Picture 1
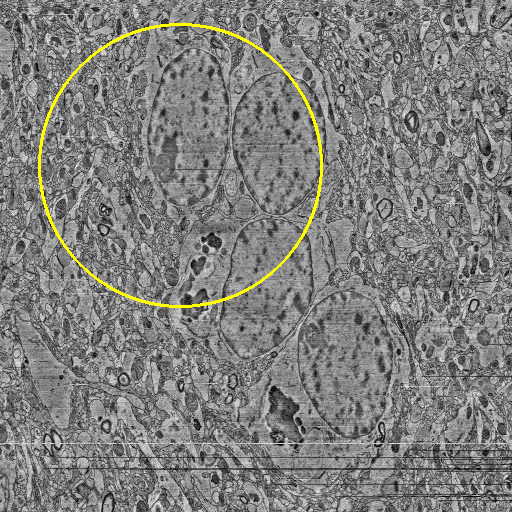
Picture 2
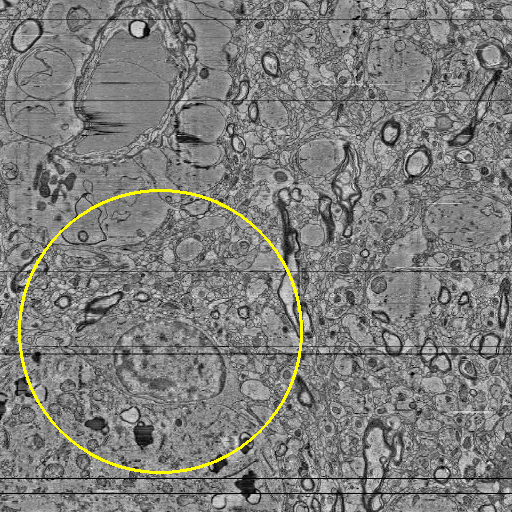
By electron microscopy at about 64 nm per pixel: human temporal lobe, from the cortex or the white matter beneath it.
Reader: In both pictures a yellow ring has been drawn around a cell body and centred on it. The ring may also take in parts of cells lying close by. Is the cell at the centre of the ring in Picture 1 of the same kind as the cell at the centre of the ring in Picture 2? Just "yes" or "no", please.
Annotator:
no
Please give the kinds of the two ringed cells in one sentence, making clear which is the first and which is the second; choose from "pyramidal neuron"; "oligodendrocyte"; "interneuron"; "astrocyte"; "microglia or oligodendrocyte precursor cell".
In the second picture the ringed cell is an oligodendrocyte; in the first it is an astrocyte.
